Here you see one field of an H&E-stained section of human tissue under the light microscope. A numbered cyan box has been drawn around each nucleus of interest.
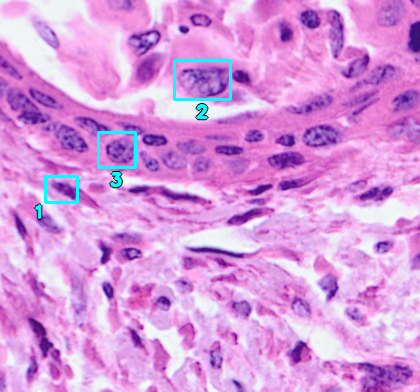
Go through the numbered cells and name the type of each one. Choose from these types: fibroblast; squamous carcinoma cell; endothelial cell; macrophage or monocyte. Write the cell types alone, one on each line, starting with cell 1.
fibroblast
squamous carcinoma cell
squamous carcinoma cell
